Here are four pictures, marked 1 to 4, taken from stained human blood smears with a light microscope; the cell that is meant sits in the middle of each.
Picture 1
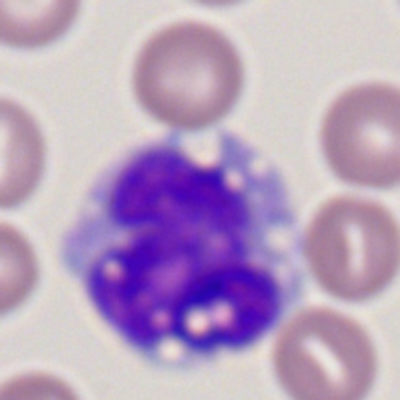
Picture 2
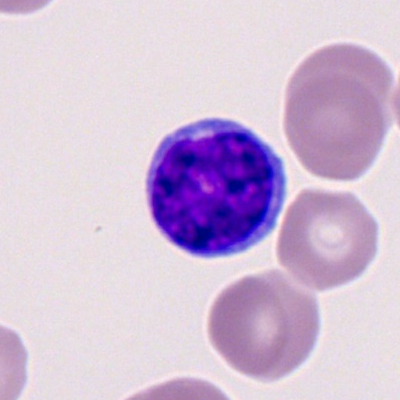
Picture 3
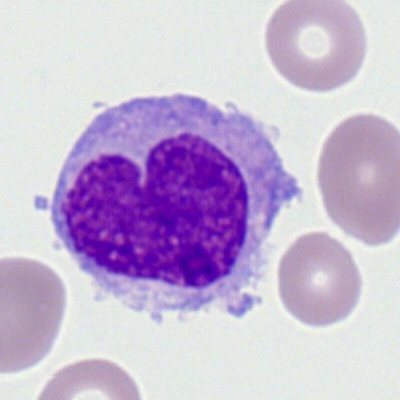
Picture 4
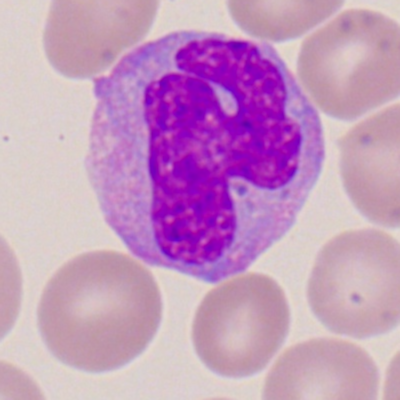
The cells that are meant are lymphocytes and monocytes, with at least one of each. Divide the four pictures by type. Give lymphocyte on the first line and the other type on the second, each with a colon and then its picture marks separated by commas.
lymphocyte: 2
monocyte: 1, 3, 4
